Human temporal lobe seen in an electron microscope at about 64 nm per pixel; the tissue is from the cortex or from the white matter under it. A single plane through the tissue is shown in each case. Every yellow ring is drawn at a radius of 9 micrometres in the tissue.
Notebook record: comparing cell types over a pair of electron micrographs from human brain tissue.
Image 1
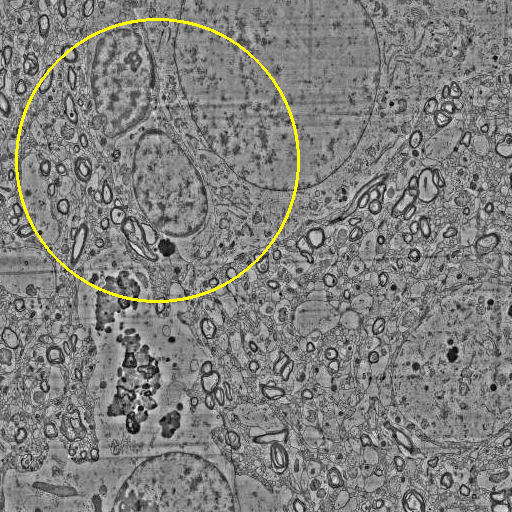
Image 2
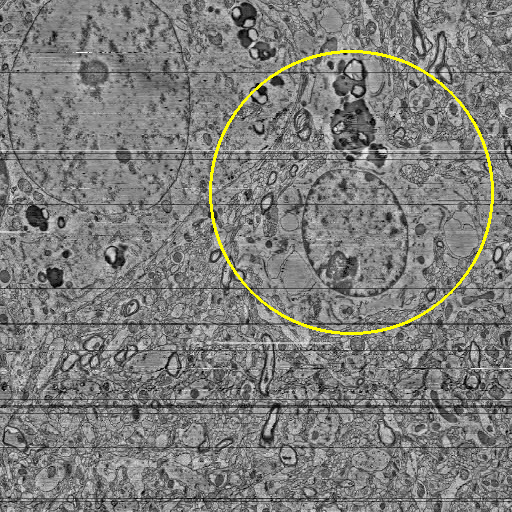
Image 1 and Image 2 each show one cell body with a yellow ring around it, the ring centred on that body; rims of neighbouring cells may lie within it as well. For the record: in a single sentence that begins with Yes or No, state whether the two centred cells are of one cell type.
No, two cell types are found among the centred cells of Image 1 and Image 2.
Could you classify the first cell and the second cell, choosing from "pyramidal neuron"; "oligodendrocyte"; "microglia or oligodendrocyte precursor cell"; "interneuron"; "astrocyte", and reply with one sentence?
The second cell is an astrocyte, while the first is a microglial cell or oligodendrocyte precursor cell.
